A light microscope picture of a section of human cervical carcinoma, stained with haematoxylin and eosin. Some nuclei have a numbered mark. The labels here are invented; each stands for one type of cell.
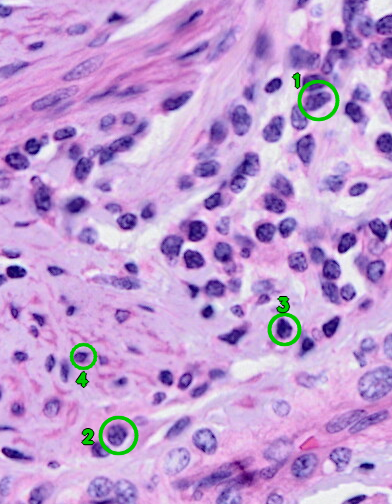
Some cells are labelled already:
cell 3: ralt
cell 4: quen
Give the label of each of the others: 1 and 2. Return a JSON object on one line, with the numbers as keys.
{"1": "ralt", "2": "ralt"}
